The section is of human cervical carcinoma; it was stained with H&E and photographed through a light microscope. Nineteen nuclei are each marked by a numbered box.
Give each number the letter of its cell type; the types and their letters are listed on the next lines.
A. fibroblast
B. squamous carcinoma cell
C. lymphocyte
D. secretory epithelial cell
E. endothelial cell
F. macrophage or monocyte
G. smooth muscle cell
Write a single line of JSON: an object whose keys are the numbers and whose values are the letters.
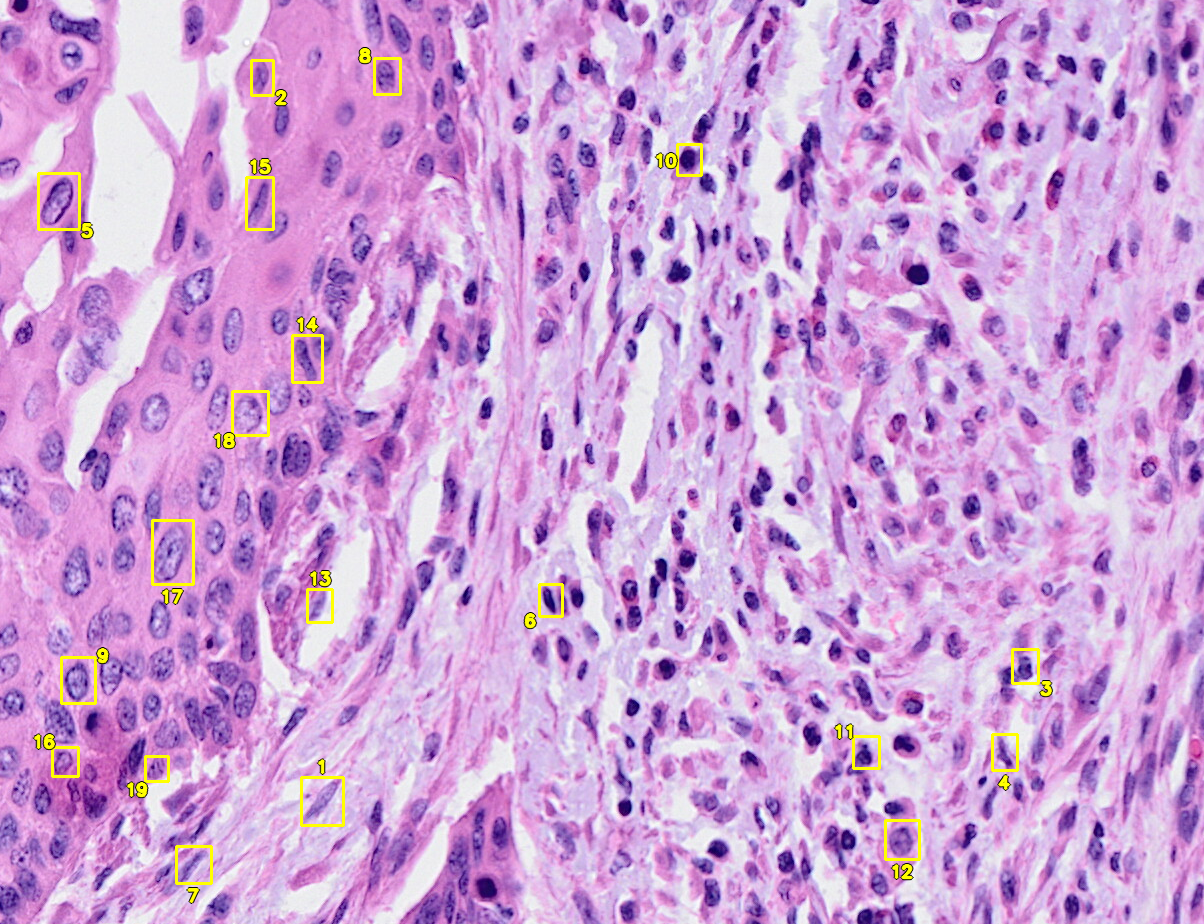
{"1": "A", "2": "B", "3": "C", "4": "A", "5": "B", "6": "C", "7": "A", "8": "B", "9": "B", "10": "C", "11": "C", "12": "F", "13": "A", "14": "B", "15": "B", "16": "B", "17": "B", "18": "B", "19": "B"}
